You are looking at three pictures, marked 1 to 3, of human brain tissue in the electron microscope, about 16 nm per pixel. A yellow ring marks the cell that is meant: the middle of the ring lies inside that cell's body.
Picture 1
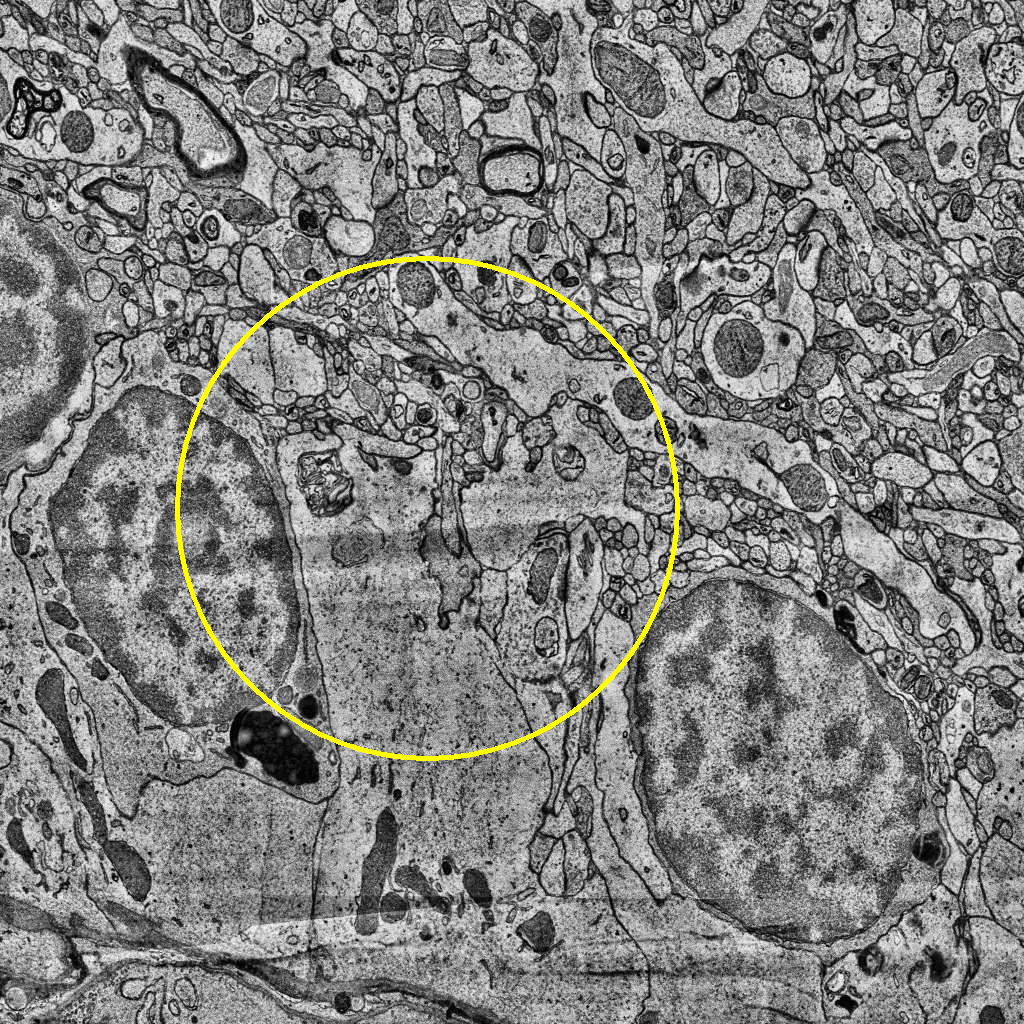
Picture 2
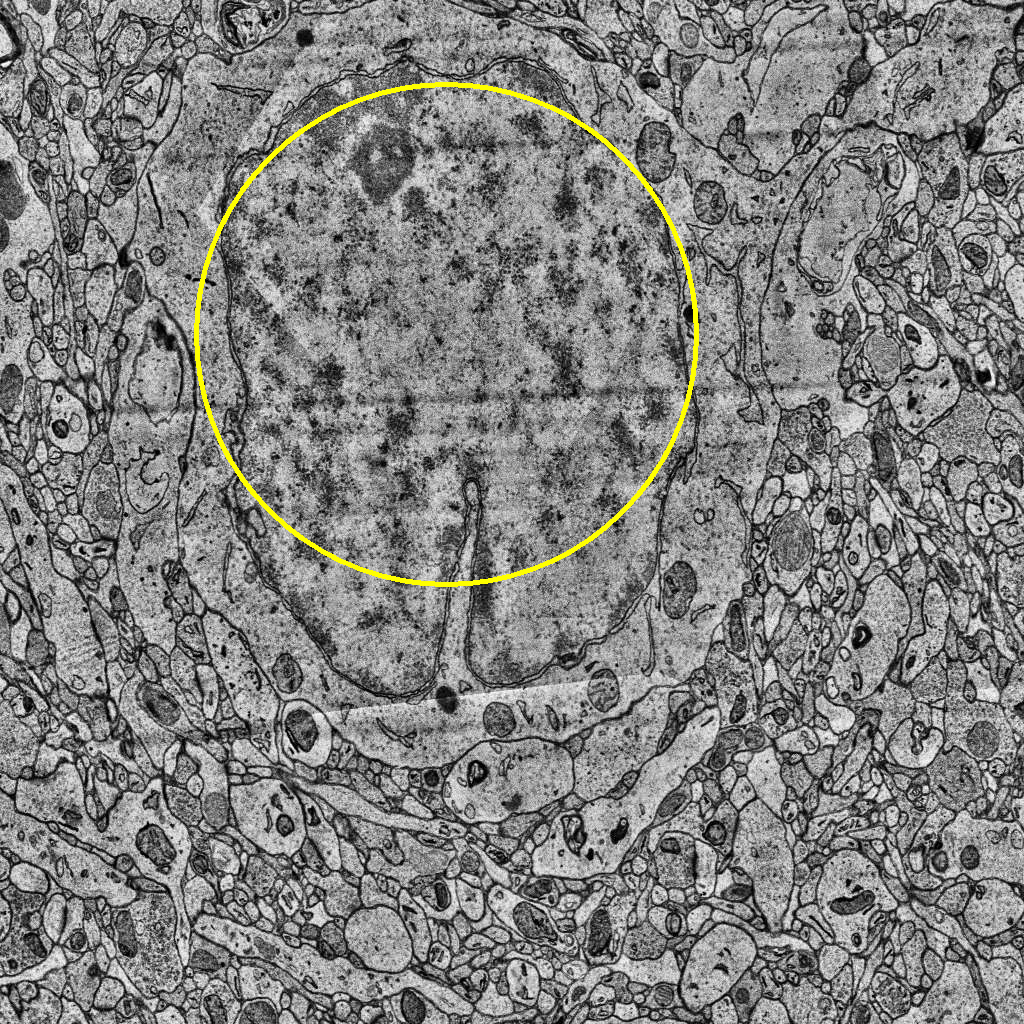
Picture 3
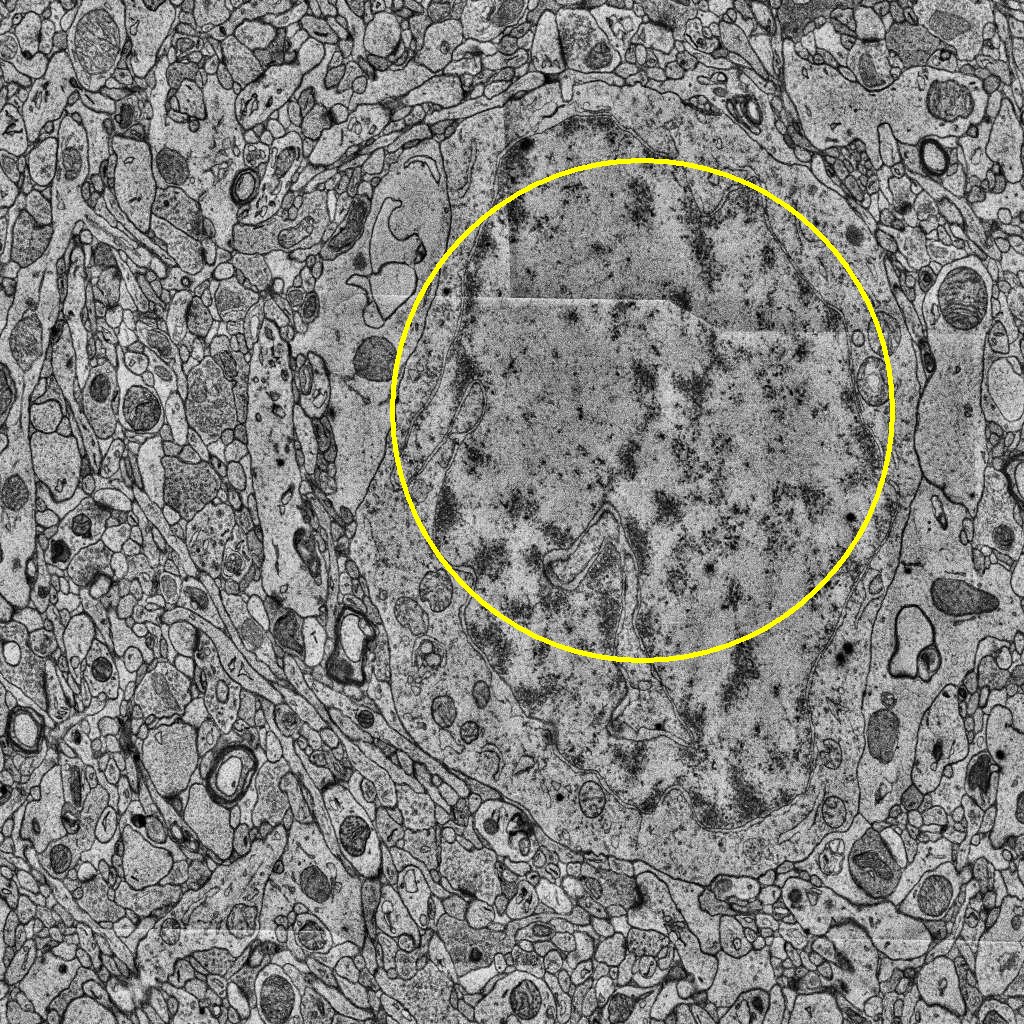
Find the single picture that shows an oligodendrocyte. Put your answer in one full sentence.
The picture with the oligodendrocyte is 1.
